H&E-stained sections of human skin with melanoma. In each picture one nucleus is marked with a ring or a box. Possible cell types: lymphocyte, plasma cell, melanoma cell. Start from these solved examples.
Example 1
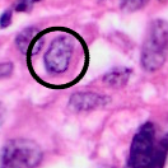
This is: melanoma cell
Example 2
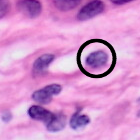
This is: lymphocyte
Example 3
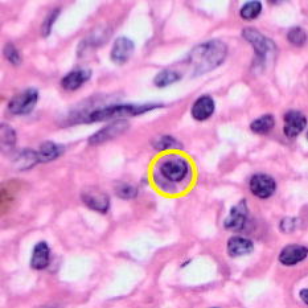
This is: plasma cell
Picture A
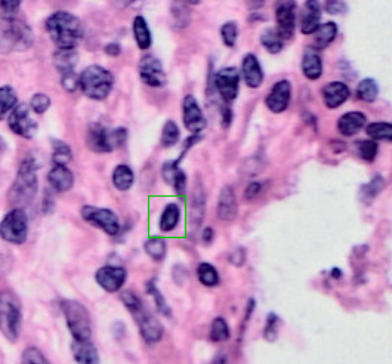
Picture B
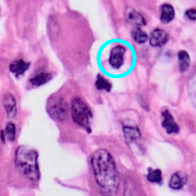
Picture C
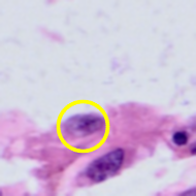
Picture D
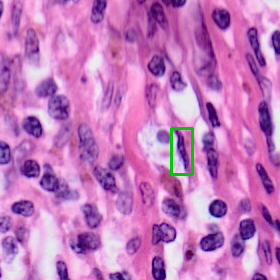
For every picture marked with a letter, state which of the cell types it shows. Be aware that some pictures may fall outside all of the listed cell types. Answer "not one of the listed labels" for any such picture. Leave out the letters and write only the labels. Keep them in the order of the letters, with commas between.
lymphocyte, lymphocyte, melanoma cell, not one of the listed labels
